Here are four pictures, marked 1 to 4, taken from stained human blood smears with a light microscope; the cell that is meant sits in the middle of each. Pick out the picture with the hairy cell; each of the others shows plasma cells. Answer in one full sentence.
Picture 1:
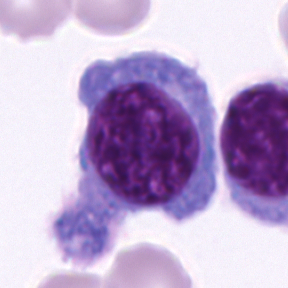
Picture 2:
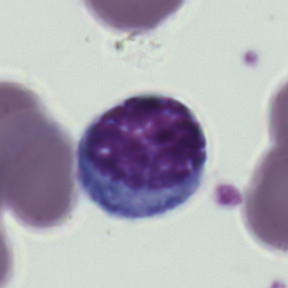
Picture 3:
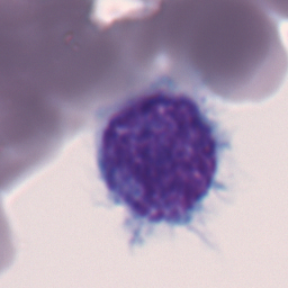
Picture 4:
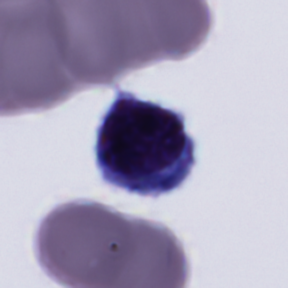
Picture 3 shows the hairy cell.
